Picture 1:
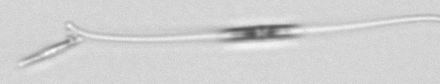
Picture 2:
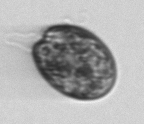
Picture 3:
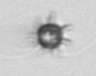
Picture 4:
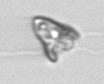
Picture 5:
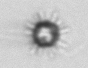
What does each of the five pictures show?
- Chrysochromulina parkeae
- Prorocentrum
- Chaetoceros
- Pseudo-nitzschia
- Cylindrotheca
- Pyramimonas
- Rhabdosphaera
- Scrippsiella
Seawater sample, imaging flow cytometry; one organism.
(1) Cylindrotheca
(2) Prorocentrum
(3) Rhabdosphaera
(4) Pyramimonas
(5) Rhabdosphaera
